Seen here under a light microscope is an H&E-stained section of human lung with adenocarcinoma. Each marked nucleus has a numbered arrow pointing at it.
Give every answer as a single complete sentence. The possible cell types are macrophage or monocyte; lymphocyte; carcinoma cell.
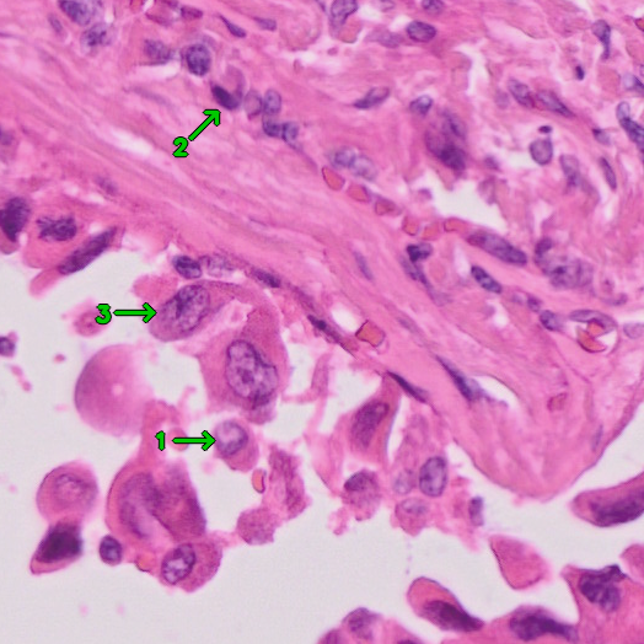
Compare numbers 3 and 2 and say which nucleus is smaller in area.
With nucleus 3 about 4 times its size, nucleus 2 is the smaller of the two.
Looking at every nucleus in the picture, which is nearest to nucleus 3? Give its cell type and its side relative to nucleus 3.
Lying above nucleus 3, the nearest nucleus is that of a lymphocyte.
